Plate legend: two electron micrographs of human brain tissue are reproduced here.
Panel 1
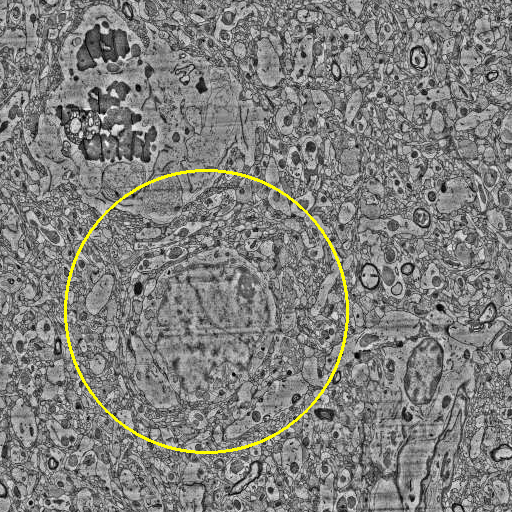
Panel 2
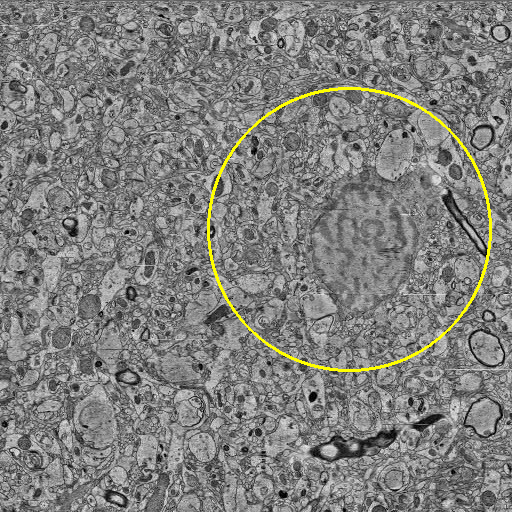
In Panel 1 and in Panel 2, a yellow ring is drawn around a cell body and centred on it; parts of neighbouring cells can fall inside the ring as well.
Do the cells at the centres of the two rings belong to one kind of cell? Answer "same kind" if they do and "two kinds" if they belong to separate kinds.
two kinds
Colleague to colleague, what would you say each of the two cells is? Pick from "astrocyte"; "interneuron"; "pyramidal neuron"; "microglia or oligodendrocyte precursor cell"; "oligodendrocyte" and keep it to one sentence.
The cell in the first picture is an interneuron; the second picture's cell is an oligodendrocyte.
